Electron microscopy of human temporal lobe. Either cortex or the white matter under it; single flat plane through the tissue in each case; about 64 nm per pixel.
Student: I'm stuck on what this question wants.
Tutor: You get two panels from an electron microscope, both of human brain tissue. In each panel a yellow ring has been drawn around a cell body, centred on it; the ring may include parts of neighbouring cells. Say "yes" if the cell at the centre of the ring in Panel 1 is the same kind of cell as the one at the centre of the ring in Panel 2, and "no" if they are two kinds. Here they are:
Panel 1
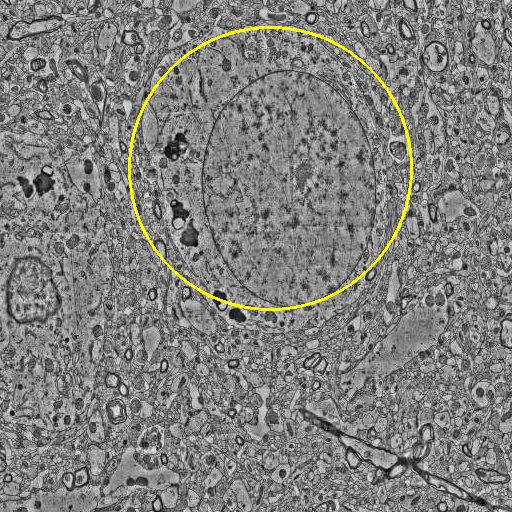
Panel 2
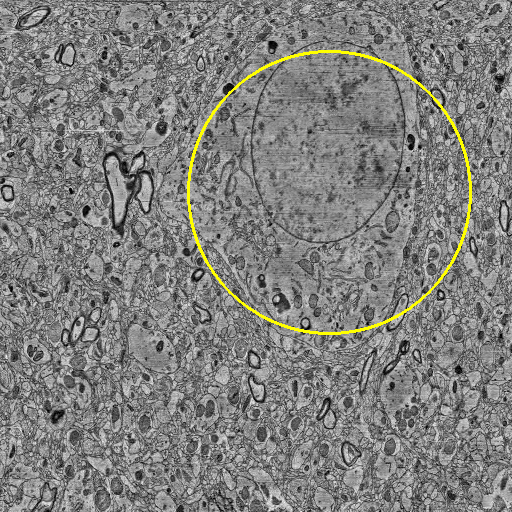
yes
